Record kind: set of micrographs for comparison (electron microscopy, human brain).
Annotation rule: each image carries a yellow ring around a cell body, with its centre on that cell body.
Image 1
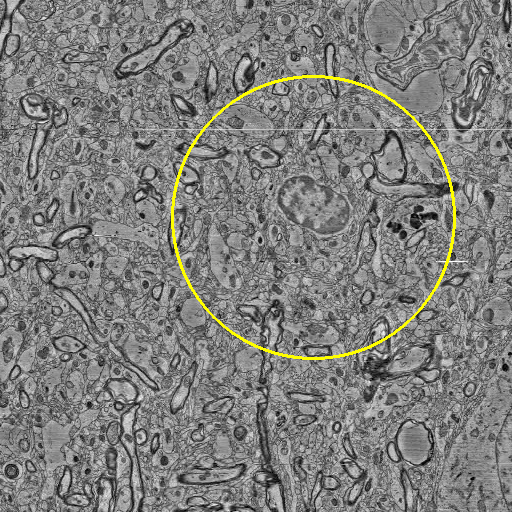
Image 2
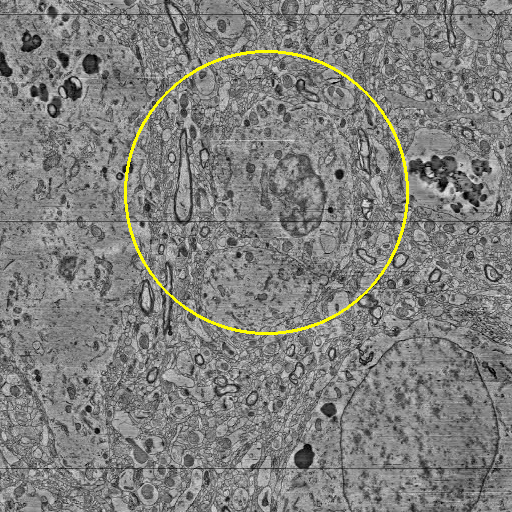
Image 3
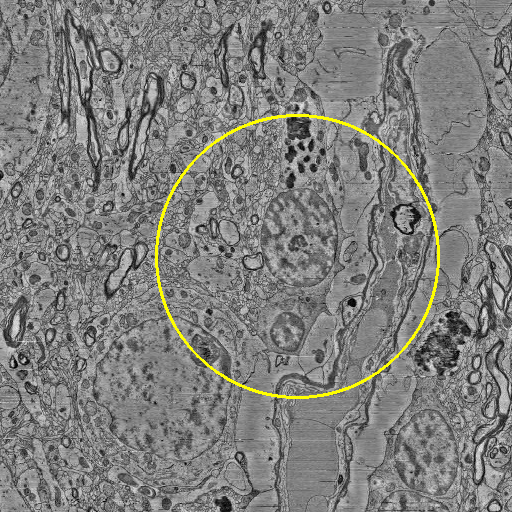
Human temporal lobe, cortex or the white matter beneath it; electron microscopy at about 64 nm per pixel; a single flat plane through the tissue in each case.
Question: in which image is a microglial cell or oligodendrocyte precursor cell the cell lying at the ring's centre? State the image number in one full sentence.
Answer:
In image 1, the ring is centred on the cell in question.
